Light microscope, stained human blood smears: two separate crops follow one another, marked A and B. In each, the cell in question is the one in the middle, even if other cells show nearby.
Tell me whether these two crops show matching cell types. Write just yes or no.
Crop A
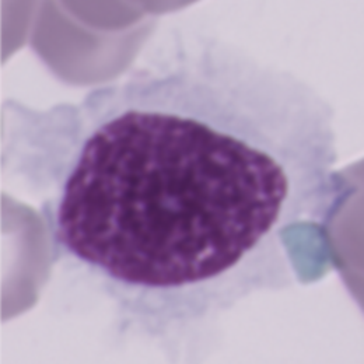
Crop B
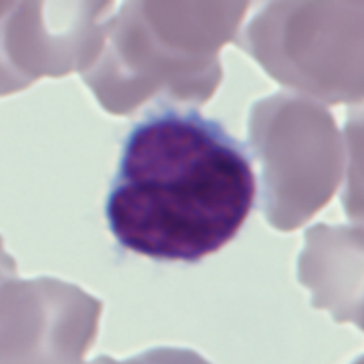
yes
